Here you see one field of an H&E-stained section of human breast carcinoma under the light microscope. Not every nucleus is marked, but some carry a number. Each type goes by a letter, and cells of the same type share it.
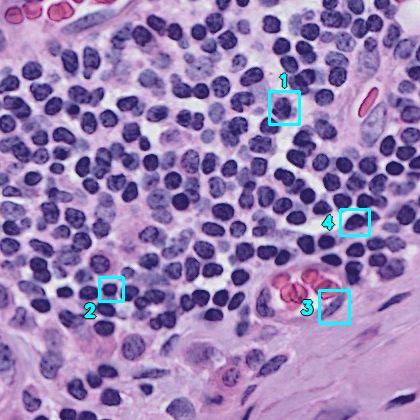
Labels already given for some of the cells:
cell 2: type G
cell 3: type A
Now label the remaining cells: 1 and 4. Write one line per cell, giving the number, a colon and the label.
1: type G
4: type G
